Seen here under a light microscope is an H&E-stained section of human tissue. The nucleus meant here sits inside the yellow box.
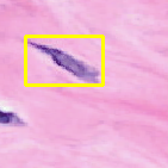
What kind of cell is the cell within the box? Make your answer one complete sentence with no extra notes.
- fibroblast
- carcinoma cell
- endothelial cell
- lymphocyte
At the level of cell identity, the cell within the box is a fibroblast.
